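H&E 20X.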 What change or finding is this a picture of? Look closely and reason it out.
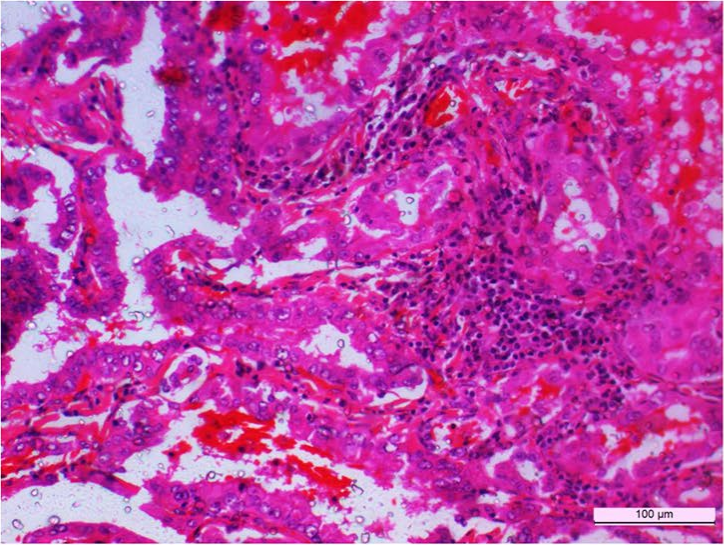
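Epithelial cells line branching papillary fronds with fibrovascular cores. Crowded epithelial nuclei with pale chromatin. On this evidence: papillary thyroid carcinoma.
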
